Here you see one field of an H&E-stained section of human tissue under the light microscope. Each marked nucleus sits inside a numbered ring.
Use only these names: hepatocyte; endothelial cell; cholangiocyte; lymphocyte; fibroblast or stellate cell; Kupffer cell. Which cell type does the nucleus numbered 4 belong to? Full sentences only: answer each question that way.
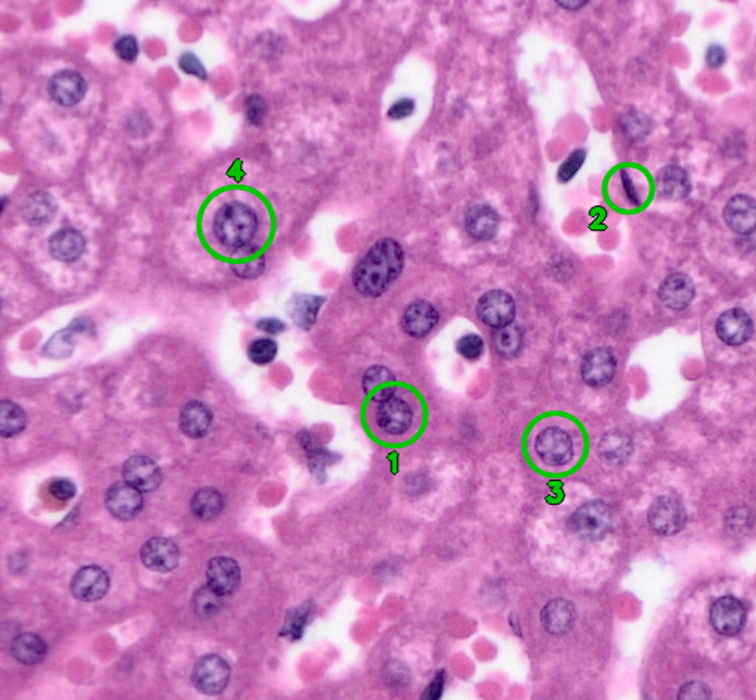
In this section, the cell numbered 4 is a hepatocyte.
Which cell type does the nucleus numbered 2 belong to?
It is as a fibroblast or stellate cell that the cell numbered 2 is identified.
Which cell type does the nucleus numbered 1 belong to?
As for number 1, that cell is a hepatocyte.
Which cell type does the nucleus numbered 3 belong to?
The nucleus labelled 3 belongs to a hepatocyte.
